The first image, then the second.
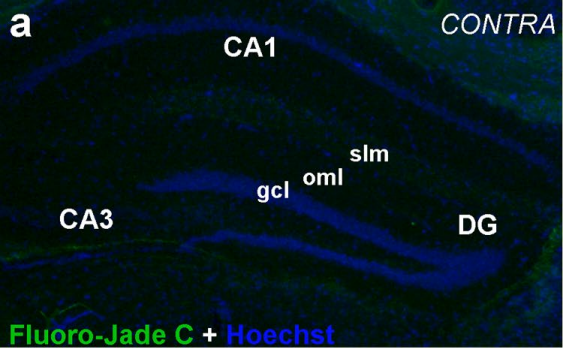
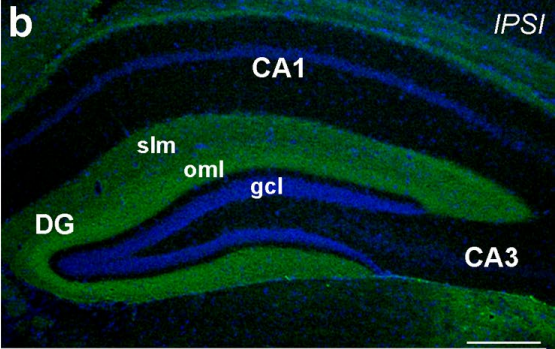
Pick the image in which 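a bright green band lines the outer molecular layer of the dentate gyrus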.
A: The second image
